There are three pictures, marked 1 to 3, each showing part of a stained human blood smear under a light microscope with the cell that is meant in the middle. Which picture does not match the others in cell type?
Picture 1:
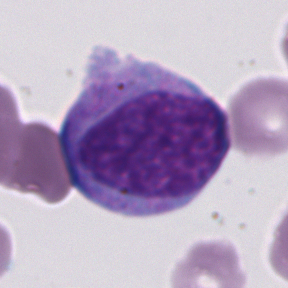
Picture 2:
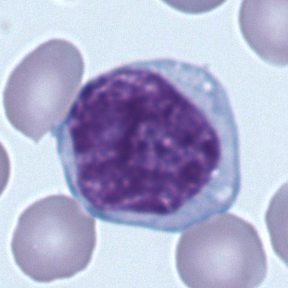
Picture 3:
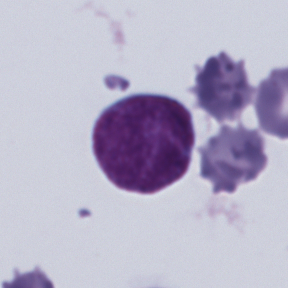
1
